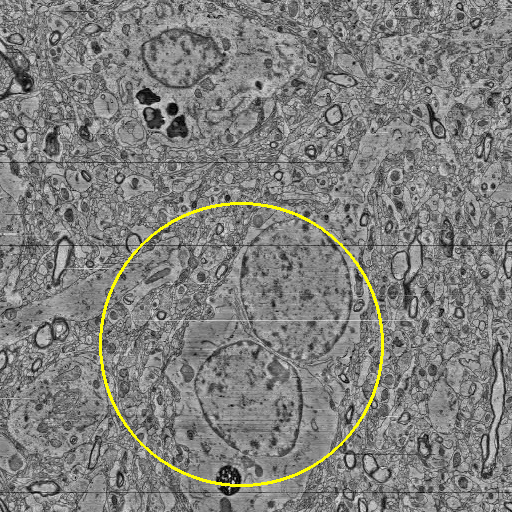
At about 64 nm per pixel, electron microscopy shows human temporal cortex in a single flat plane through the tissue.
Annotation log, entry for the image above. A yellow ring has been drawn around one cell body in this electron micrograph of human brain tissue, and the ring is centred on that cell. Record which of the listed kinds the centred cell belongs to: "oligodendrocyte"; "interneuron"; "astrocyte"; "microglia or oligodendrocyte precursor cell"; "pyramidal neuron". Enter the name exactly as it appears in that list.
astrocyte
